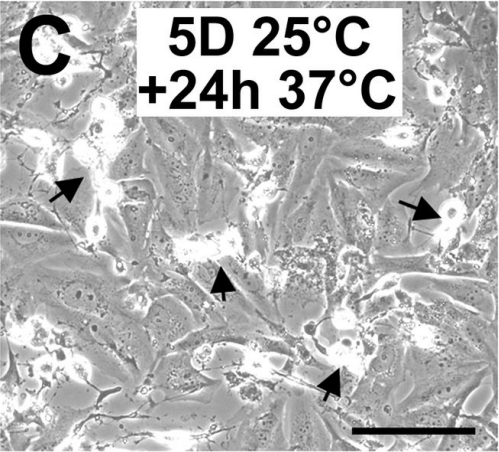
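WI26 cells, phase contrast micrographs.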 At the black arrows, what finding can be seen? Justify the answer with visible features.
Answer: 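The arrowed cells are bright, refractile and rounded. They stand out against the darker, flattened, spread cells around them. The answer: refringent, apoptotic-like cells.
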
